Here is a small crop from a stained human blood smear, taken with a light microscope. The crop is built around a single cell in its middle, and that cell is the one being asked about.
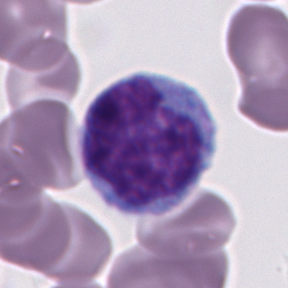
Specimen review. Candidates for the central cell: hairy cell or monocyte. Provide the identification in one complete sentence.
The cell found in the middle of this crop is a monocyte.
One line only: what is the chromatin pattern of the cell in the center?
This nucleus has coarsely clumped chromatin.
